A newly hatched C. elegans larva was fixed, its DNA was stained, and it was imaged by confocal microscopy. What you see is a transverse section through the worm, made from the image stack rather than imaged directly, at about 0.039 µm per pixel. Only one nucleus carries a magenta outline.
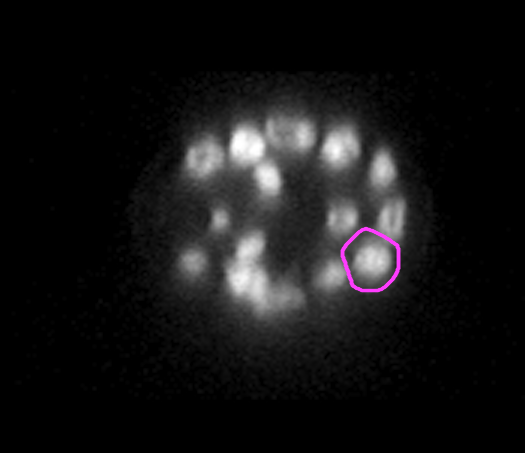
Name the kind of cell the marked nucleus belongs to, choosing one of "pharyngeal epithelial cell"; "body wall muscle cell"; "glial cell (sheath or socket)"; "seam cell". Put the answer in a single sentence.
This nucleus is from a body wall muscle cell.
